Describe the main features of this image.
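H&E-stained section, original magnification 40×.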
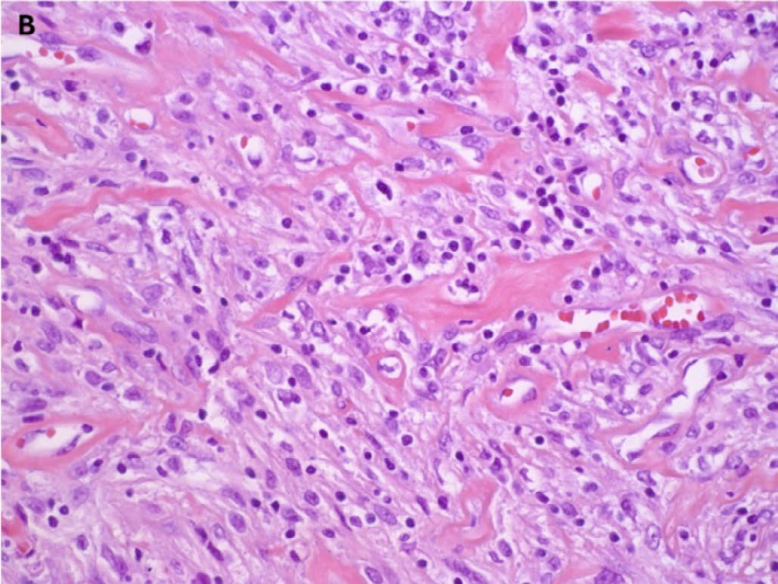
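Infiltrate of atypical large cells mixed with small mature-looking lymphocytes in a collagenous stroma. The large cells have oval to irregular nuclei with pale, open chromatin and distinct nucleoli. The small lymphocytes have round, dense, dark nuclei and little cytoplasm, and are scattered singly among the large cells. Bands and strands of pink collagen run obliquely through the field. Small thin-walled vessels holding red blood cells are dispersed throughout. No normal tissue architecture is preserved in the field.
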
